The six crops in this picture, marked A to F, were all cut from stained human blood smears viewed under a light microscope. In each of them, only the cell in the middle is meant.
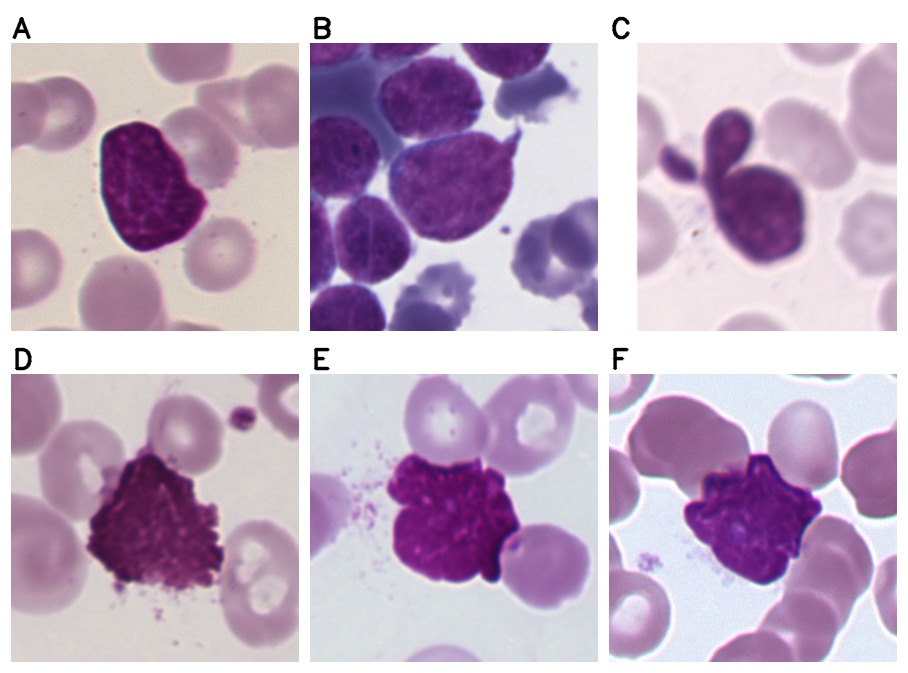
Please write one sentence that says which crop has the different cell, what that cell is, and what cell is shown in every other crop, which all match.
Crop B breaks the pattern as a myeloblast; the other crops all contain smudge cells.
